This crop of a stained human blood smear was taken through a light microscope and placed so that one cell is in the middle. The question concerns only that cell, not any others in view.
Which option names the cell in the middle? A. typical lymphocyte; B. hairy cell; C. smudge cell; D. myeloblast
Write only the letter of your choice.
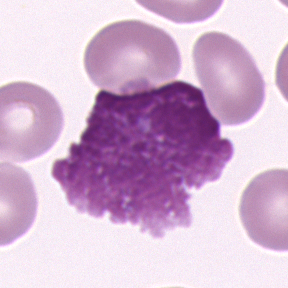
C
